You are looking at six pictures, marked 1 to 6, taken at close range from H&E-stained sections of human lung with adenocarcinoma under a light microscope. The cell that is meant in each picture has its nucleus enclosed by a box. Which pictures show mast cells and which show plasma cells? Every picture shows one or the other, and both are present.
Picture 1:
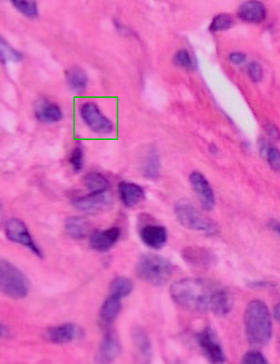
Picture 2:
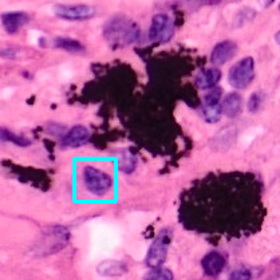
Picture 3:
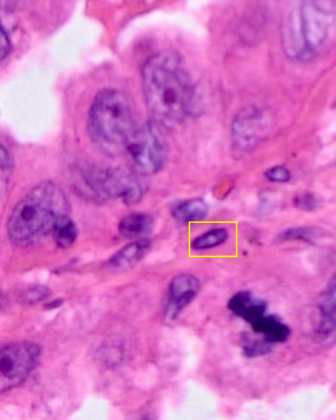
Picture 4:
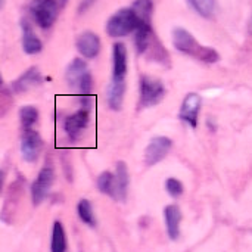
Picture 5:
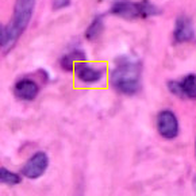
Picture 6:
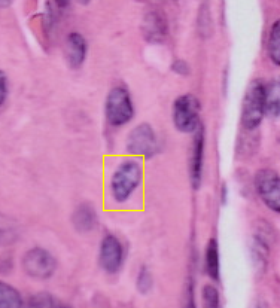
1: mast cell
2: mast cell
3: mast cell
4: plasma cell
5: plasma cell
6: mast cell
